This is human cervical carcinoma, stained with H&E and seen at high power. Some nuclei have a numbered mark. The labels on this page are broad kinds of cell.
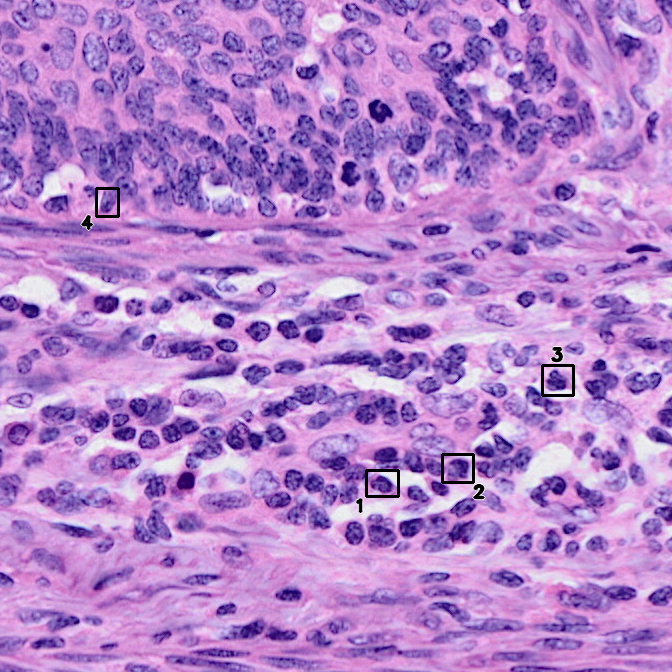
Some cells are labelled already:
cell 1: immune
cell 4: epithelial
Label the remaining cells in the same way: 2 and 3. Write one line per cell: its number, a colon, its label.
2: immune
3: immune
